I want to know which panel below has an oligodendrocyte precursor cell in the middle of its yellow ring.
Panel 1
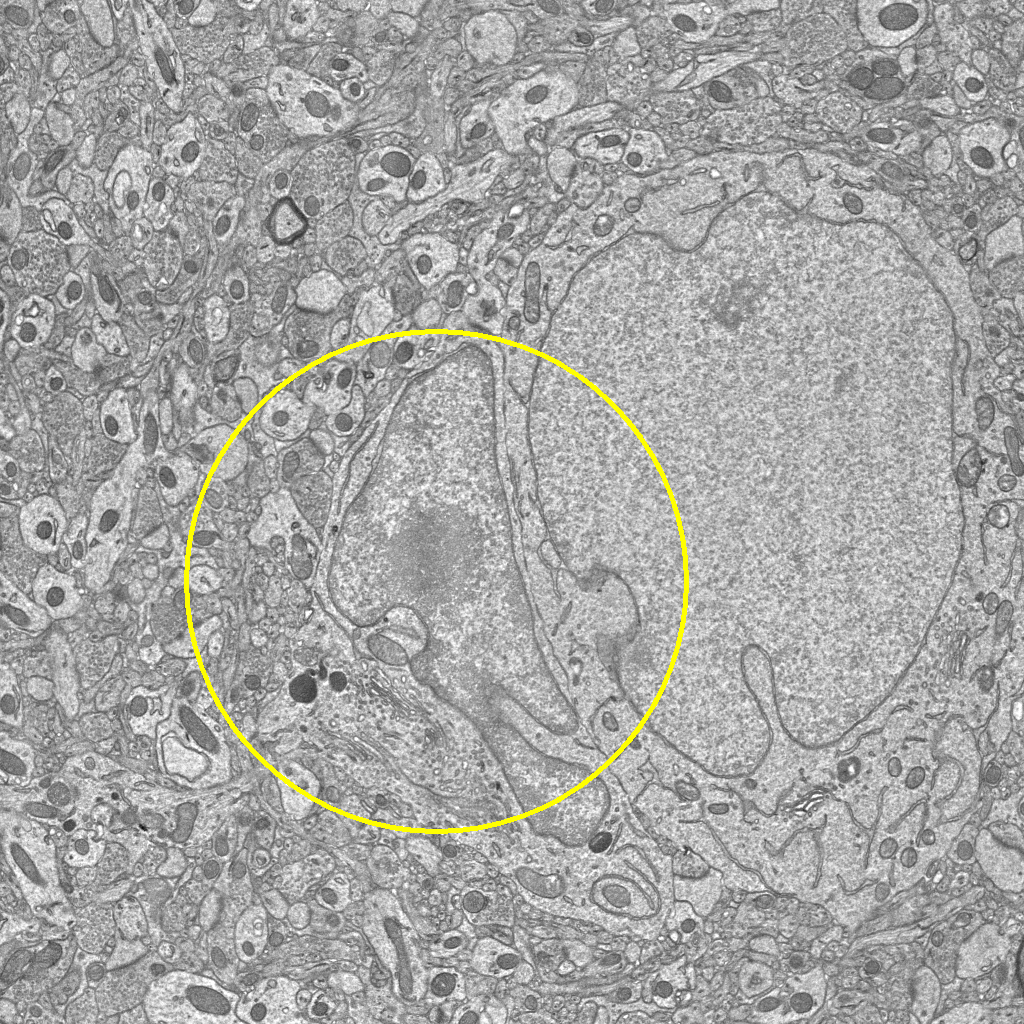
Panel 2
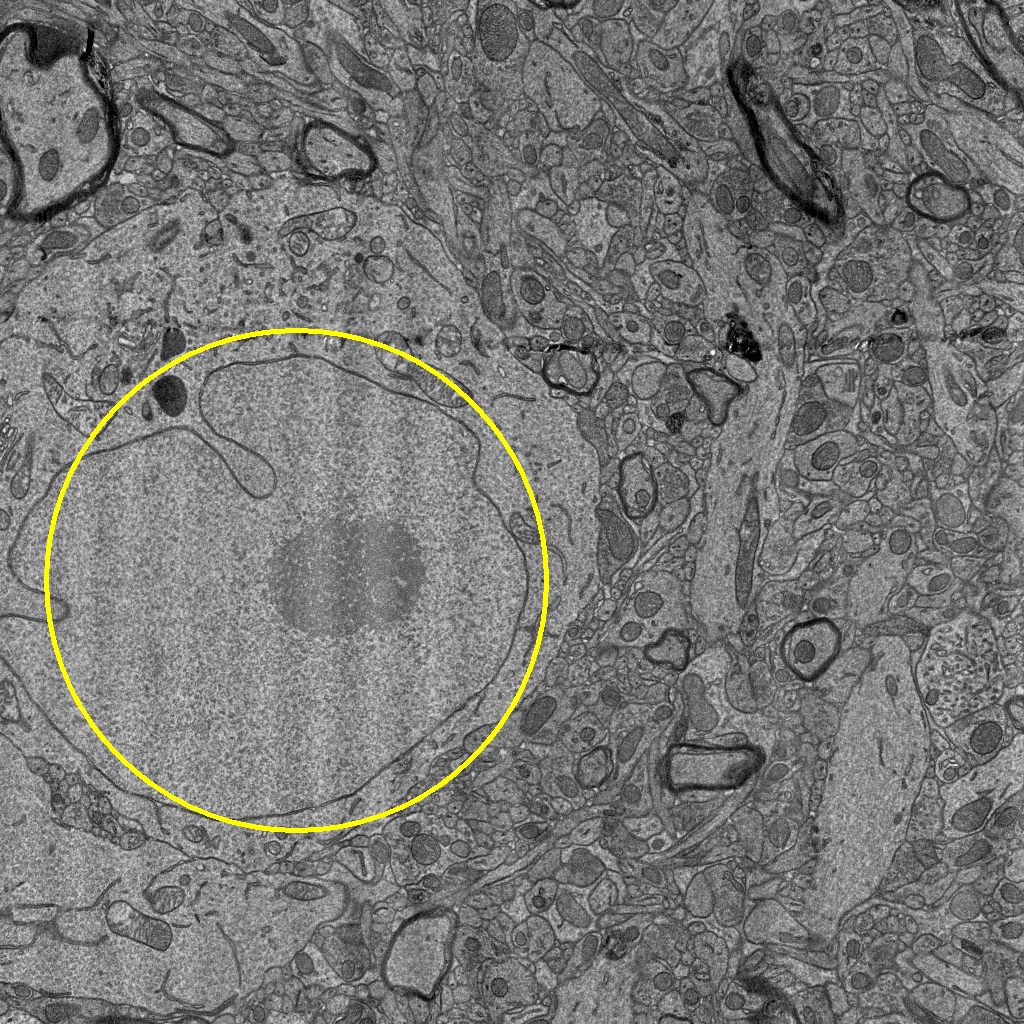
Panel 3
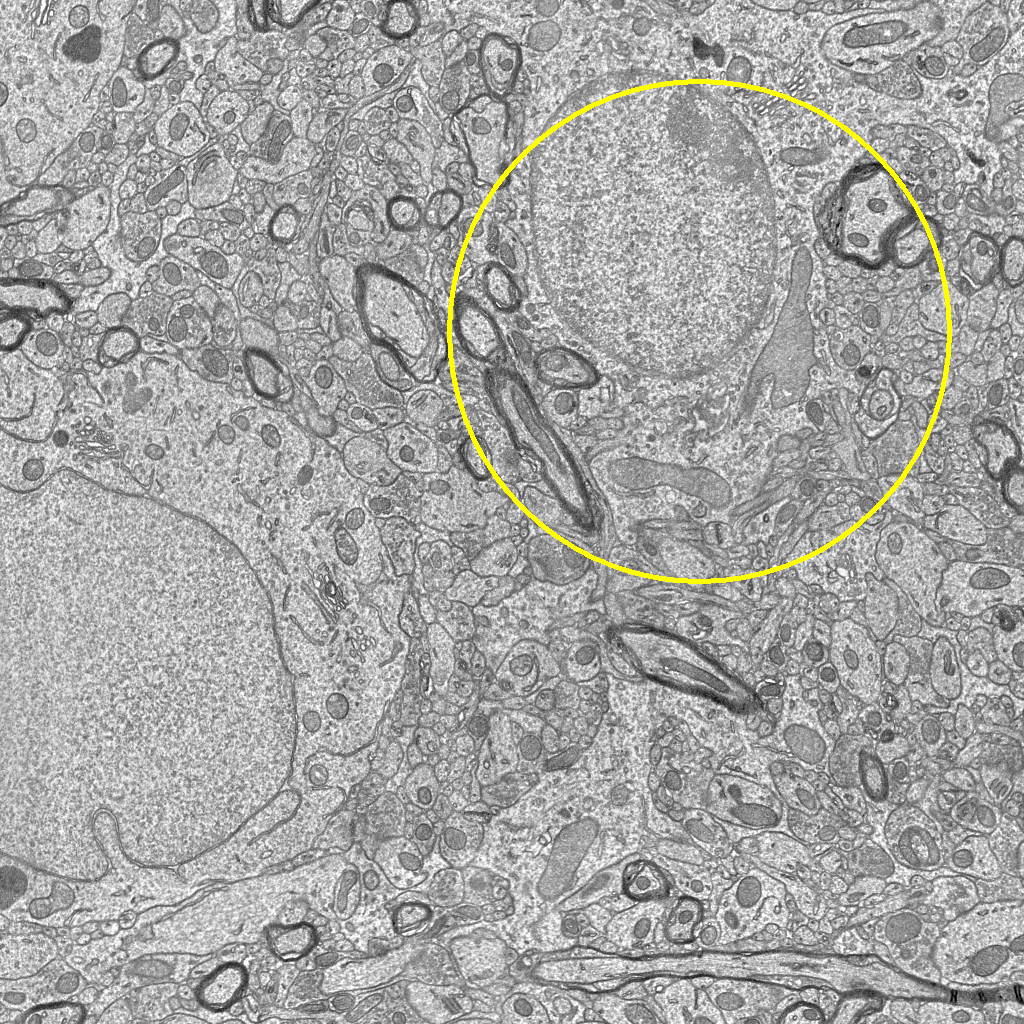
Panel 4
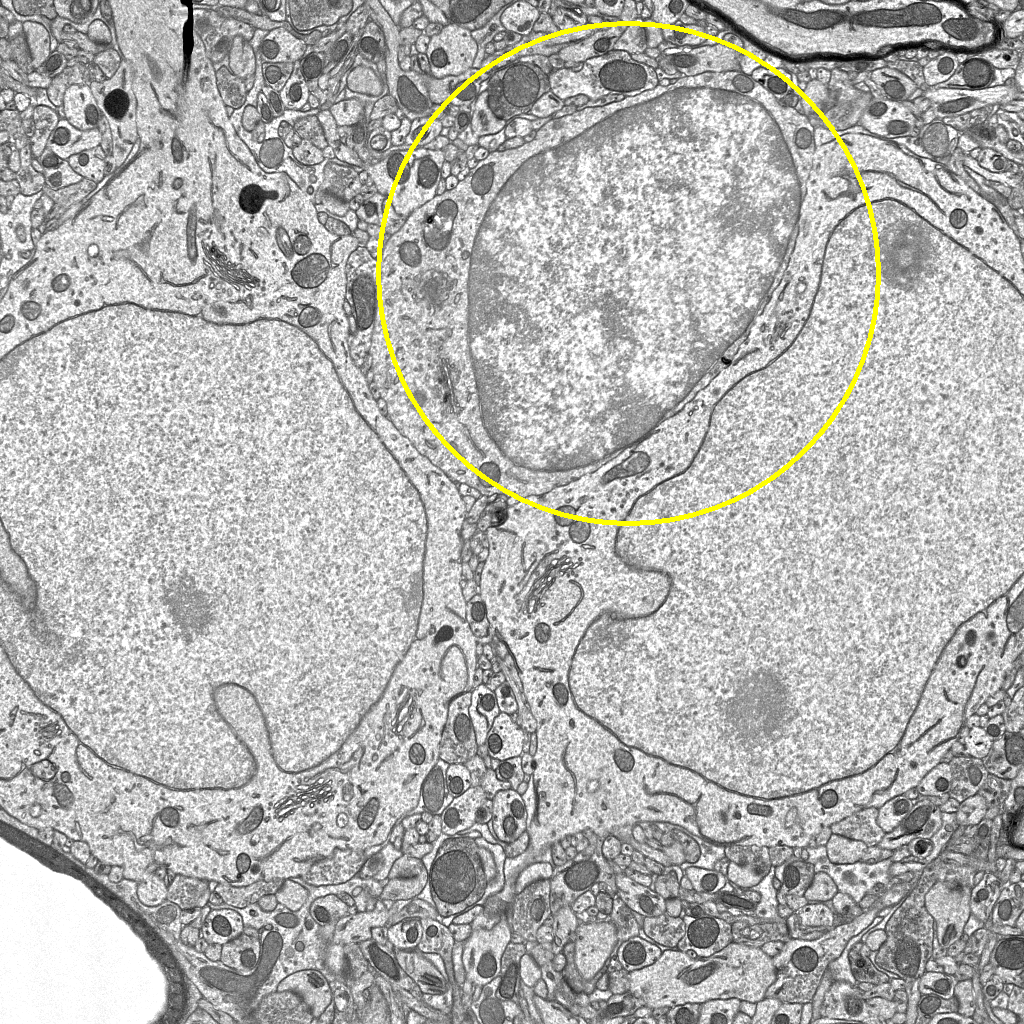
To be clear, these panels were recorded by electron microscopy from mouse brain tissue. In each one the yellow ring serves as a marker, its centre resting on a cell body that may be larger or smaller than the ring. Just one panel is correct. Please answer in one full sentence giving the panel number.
Panel 1 has the requested cell sitting at the centre of its ring.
